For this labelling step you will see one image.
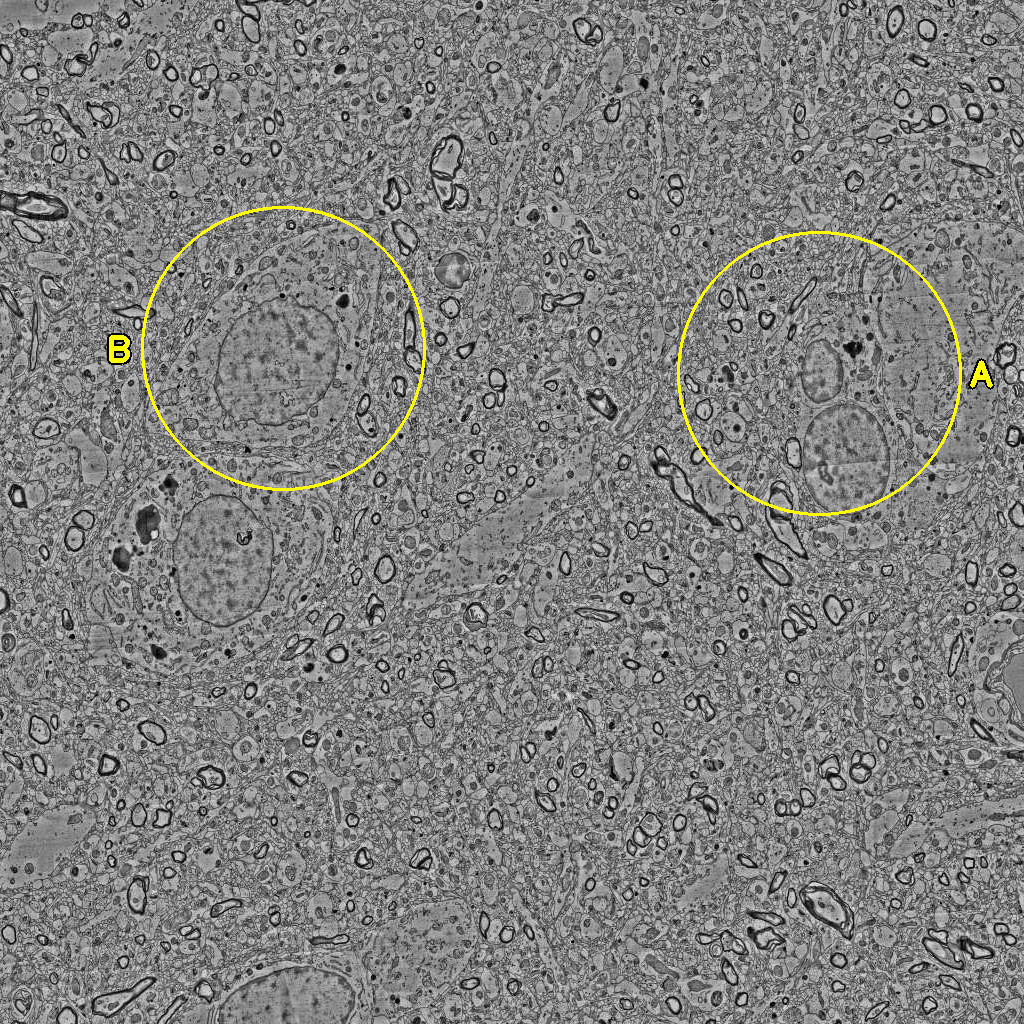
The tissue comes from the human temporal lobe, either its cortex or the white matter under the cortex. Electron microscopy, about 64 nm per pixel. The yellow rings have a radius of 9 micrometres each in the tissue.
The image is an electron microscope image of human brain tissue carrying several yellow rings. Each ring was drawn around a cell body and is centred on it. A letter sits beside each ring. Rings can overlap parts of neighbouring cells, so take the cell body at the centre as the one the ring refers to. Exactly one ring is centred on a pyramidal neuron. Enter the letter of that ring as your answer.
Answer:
B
